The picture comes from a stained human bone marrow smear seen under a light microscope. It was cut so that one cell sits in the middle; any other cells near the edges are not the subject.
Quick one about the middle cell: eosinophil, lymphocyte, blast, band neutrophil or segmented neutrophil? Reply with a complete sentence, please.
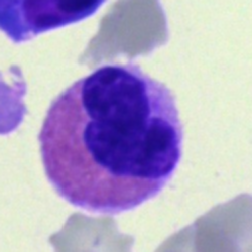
The cell at the heart of this crop is an eosinophil.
